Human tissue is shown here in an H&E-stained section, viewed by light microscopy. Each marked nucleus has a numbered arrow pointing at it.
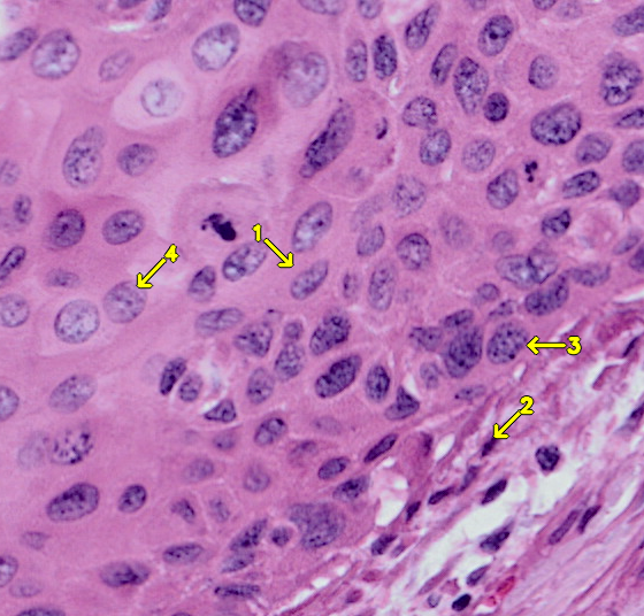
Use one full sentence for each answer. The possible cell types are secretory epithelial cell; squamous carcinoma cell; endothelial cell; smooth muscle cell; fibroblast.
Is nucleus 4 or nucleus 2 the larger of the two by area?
Number 4 is larger; its area is about 4 times that of number 2.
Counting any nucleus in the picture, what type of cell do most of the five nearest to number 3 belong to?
Of the five nuclei nearest to number 3, most belong to squamous carcinoma cells.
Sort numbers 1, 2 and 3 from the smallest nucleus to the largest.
From smallest to largest, the order is 2, 1, 3.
